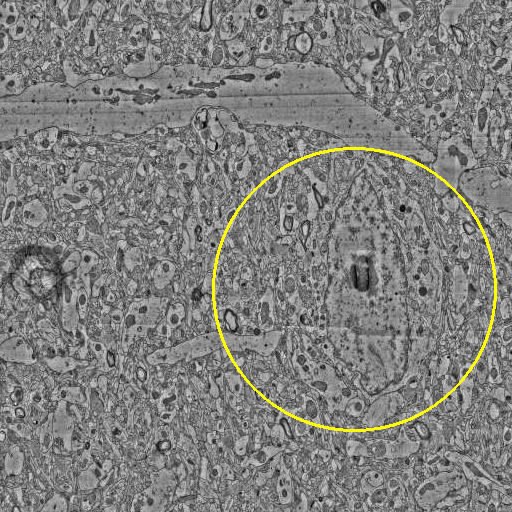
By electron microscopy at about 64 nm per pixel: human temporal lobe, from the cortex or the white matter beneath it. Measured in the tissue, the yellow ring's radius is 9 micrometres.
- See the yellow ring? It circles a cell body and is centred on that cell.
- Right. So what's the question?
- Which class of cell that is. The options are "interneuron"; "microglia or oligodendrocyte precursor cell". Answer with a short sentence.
The centre of the ring holds an interneuron.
